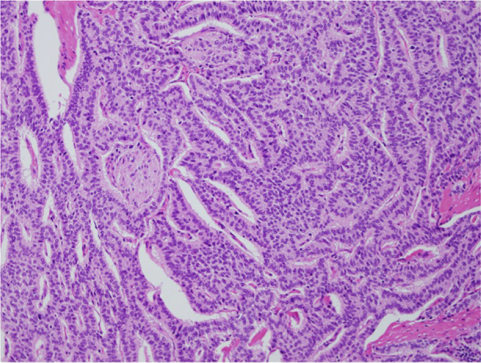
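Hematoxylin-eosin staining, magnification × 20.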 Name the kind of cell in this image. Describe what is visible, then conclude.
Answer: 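Densely crowded cells with dark, hyperchromatic oval nuclei. Cells form disorganized ribbons and tubules around slit-like spaces. That points to this answer: atypical cells.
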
